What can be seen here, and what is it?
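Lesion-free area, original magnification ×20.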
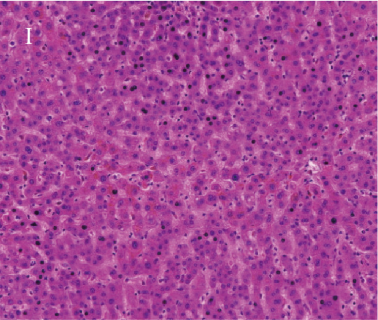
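This is liver parenchyma made up of polygonal hepatocytes with pink cytoplasm and round, dark purple nuclei. The hepatocytes lie in cords, with narrow pale spaces between them that correspond to sinusoids. No thick bands of fibrous tissue cross the field.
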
